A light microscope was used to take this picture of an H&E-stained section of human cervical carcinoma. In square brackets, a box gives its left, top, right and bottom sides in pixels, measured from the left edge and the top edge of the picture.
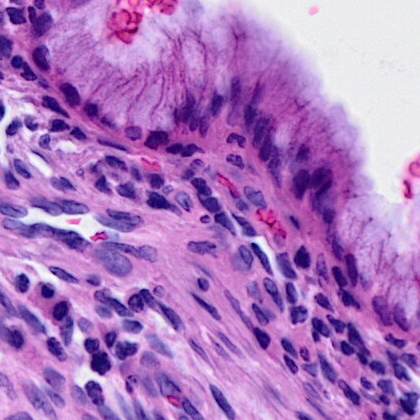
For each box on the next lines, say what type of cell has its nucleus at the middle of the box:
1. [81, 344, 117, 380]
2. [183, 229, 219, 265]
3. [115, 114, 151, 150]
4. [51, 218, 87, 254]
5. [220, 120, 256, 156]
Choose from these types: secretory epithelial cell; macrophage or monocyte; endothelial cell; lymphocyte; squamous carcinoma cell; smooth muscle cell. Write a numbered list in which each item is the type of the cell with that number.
1. lymphocyte
2. endothelial cell
3. secretory epithelial cell
4. endothelial cell
5. secretory epithelial cell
